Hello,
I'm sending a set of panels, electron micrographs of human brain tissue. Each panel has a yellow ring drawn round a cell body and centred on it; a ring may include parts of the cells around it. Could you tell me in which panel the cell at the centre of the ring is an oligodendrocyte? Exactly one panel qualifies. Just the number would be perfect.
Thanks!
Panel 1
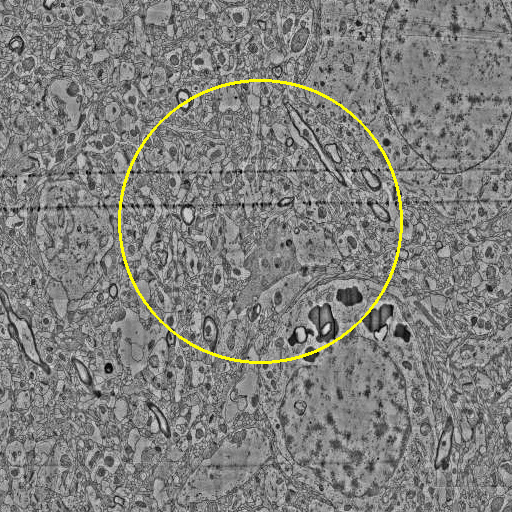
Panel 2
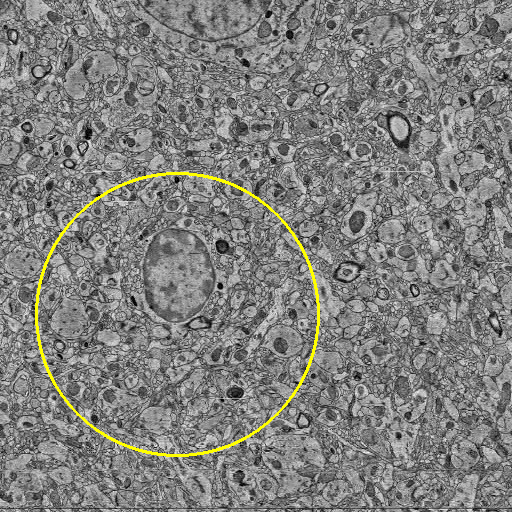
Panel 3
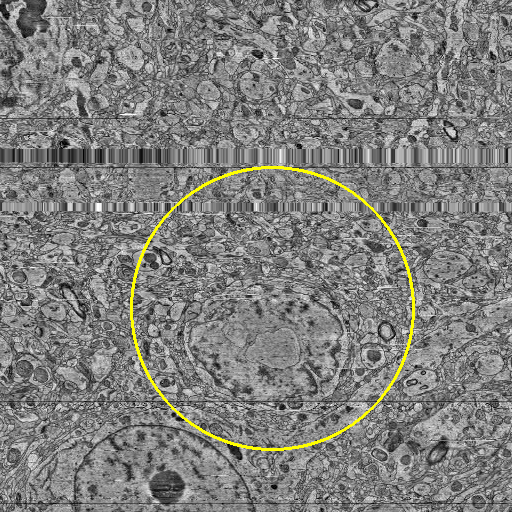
1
